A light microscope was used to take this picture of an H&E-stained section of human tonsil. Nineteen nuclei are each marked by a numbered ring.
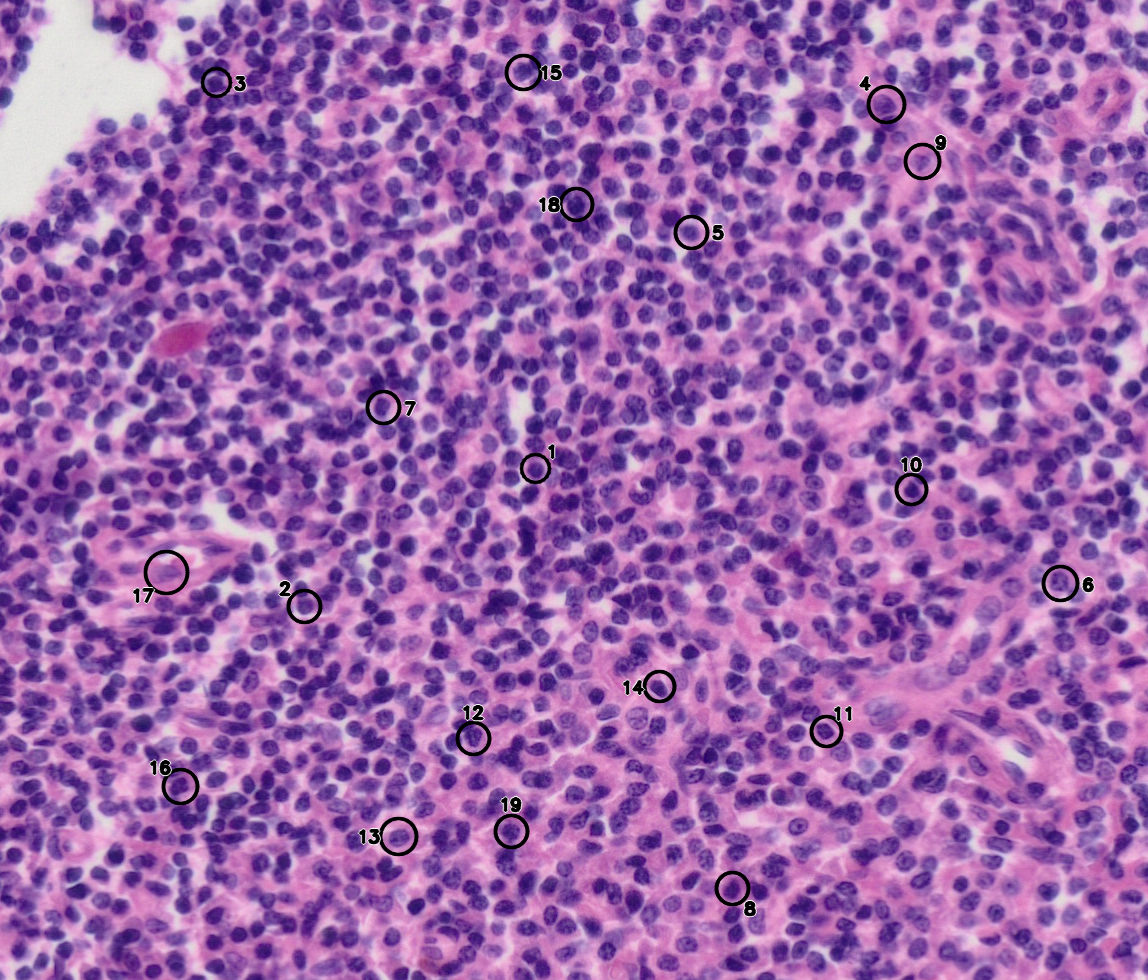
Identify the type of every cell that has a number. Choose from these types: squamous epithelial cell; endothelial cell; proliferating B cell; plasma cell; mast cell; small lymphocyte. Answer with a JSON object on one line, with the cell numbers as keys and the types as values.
{"1": "small lymphocyte", "2": "small lymphocyte", "3": "small lymphocyte", "4": "endothelial cell", "5": "small lymphocyte", "6": "plasma cell", "7": "small lymphocyte", "8": "plasma cell", "9": "endothelial cell", "10": "small lymphocyte", "11": "plasma cell", "12": "plasma cell", "13": "plasma cell", "14": "plasma cell", "15": "small lymphocyte", "16": "plasma cell", "17": "endothelial cell", "18": "small lymphocyte", "19": "plasma cell"}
